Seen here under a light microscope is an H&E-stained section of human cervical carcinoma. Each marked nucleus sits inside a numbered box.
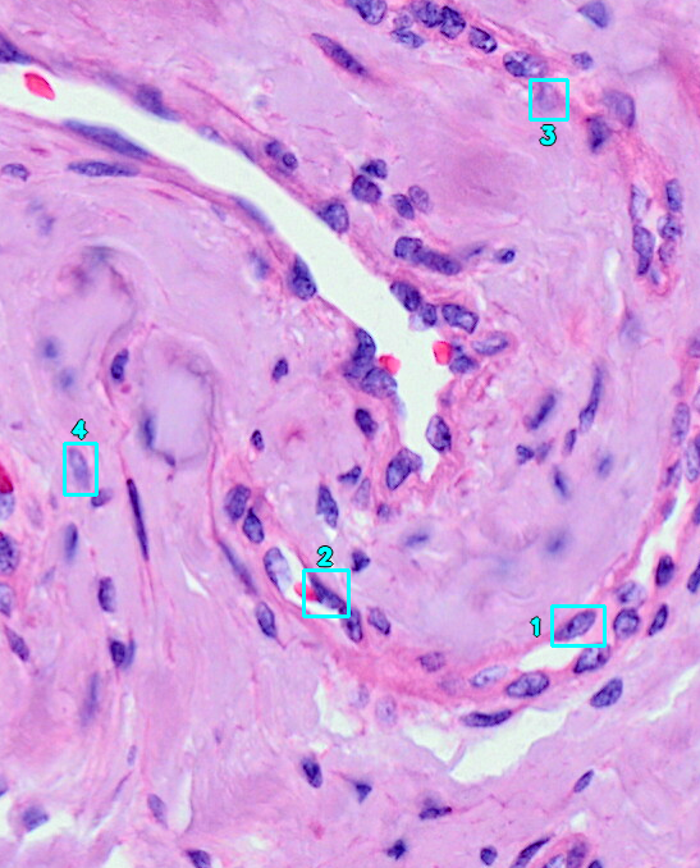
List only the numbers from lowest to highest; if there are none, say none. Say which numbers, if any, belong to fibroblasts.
4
